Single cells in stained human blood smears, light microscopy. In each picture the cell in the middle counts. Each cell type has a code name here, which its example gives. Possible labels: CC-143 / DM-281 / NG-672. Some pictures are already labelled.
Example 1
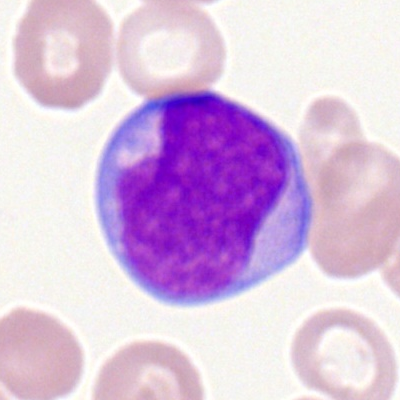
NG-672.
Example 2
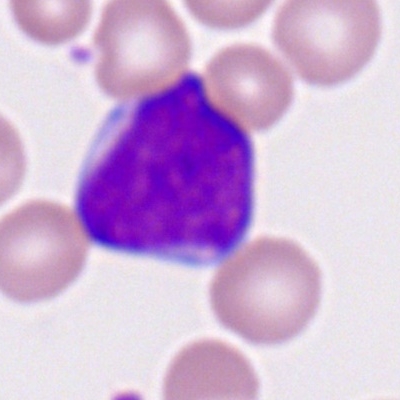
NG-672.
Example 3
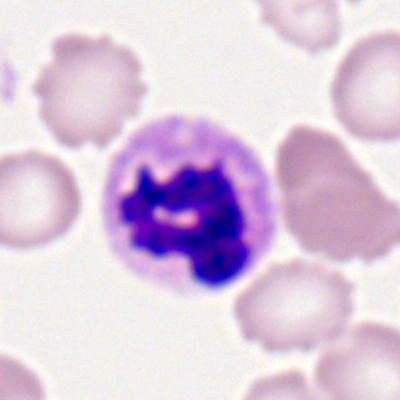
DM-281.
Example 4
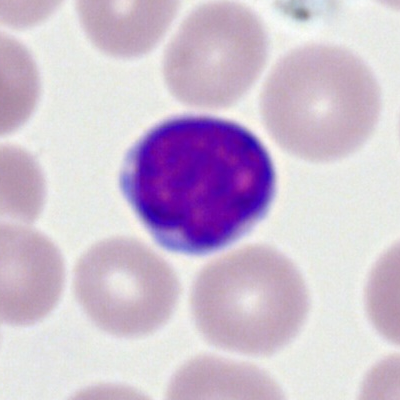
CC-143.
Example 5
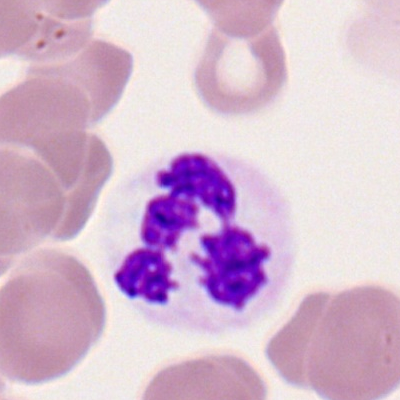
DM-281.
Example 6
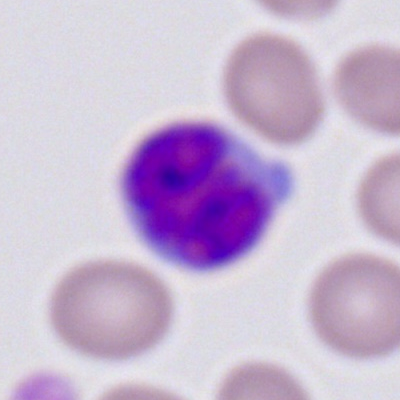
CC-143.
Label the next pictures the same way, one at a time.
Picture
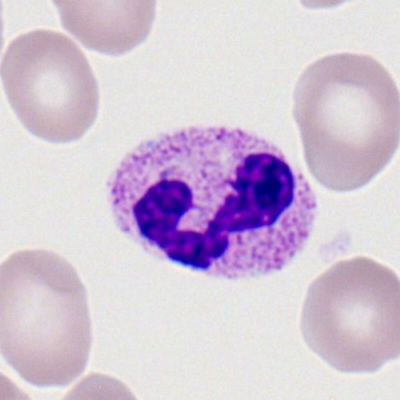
DM-281.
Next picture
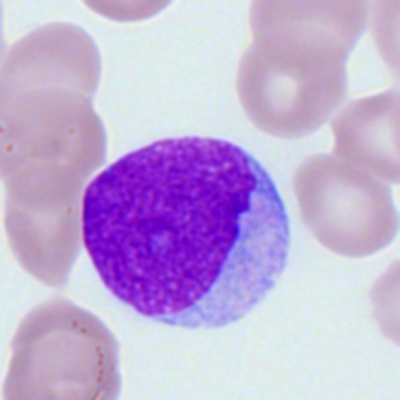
NG-672.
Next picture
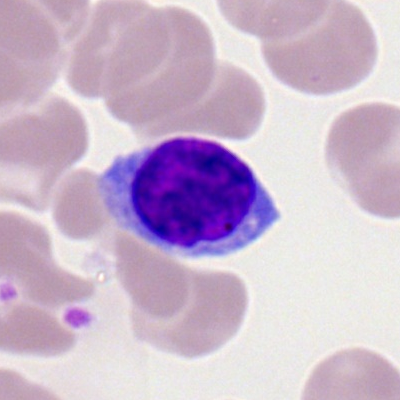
CC-143.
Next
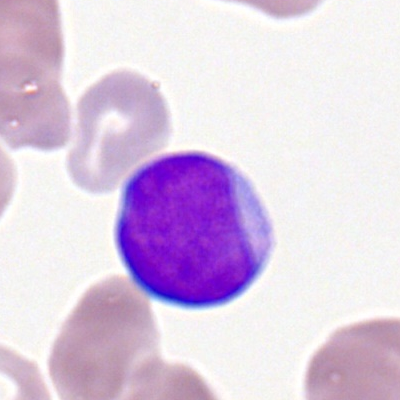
NG-672.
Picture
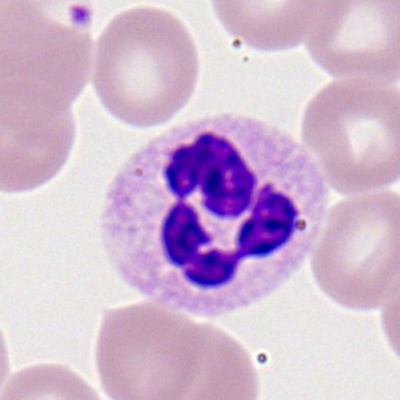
DM-281.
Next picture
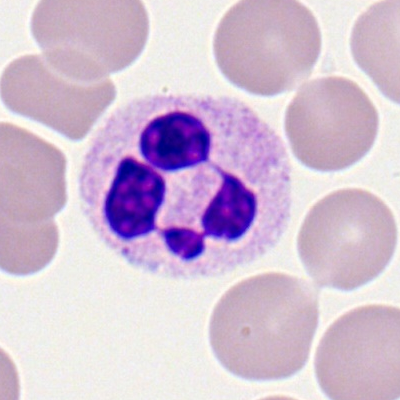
DM-281.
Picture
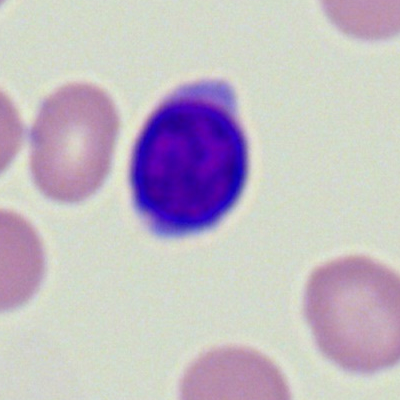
CC-143.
